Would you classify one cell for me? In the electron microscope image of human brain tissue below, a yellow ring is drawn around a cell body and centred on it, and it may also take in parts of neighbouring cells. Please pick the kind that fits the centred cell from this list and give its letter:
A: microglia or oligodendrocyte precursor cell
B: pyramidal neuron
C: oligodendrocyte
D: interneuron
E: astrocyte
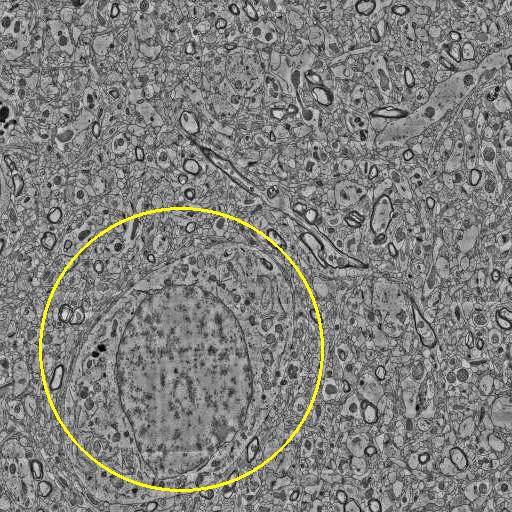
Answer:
D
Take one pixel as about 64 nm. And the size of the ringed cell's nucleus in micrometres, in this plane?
Approximately 12 x 9 micrometres in this plane.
